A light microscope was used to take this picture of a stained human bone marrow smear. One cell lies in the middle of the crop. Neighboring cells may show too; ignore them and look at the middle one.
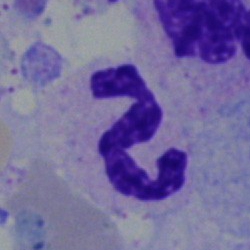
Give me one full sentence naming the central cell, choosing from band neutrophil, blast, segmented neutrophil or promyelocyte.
Framed in the middle of the crop is a segmented neutrophil.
